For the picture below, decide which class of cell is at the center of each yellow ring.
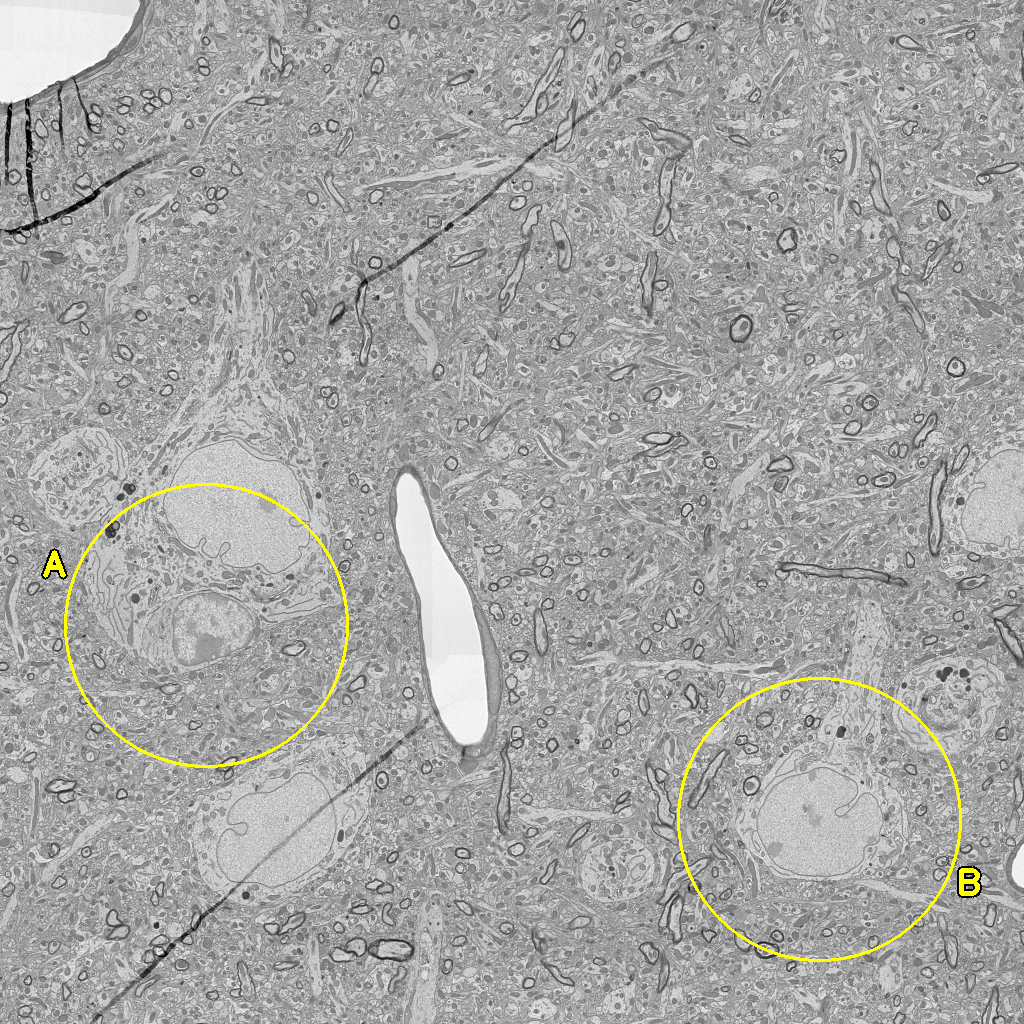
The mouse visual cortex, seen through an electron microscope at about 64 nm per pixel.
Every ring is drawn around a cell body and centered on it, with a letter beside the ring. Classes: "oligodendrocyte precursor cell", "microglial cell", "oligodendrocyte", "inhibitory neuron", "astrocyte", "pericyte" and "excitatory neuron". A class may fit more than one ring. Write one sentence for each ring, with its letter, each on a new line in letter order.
Centered in ring A is an oligodendrocyte.
Centered in ring B is an excitatory neuron.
